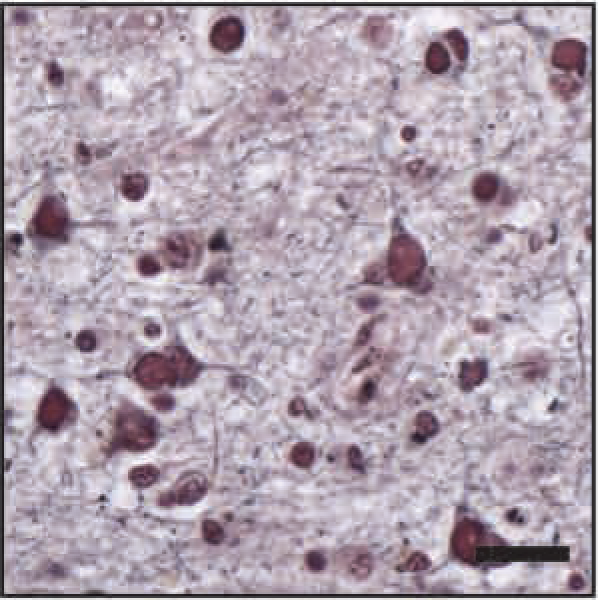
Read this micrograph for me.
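This is cerebral cortex in which many neurons carry dark purple-brown, round inclusions in their cell bodies. The inclusions are smooth, dense and spherical, and some fill most of the cell body. A few pyramidal-shaped neurons with tapering processes are visible. The neuropil between them is crossed by a fine meshwork of thin dark fibres.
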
